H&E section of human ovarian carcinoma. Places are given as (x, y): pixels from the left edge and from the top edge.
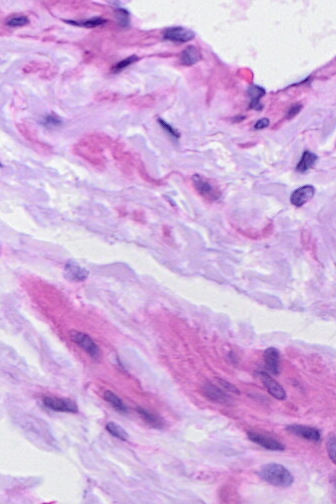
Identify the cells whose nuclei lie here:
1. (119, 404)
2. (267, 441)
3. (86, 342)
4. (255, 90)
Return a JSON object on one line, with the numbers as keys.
{"1": "smooth muscle cell", "2": "smooth muscle cell", "3": "smooth muscle cell", "4": "endothelial cell"}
